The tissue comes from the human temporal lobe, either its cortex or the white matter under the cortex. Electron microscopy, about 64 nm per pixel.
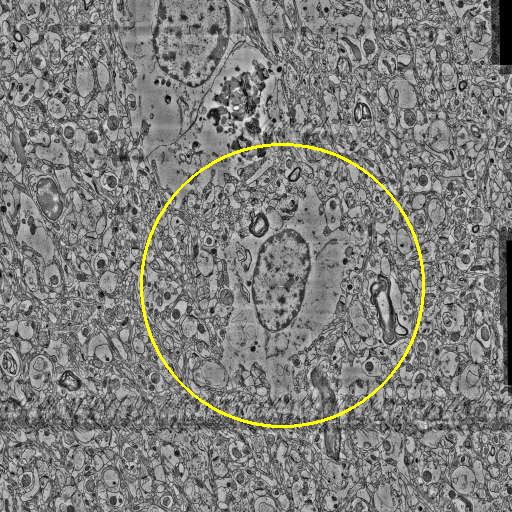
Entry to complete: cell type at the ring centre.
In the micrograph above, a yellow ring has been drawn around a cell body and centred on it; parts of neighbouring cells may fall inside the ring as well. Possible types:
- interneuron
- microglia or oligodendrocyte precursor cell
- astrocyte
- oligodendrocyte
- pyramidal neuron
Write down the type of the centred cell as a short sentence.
The ring is centred on an astrocyte.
